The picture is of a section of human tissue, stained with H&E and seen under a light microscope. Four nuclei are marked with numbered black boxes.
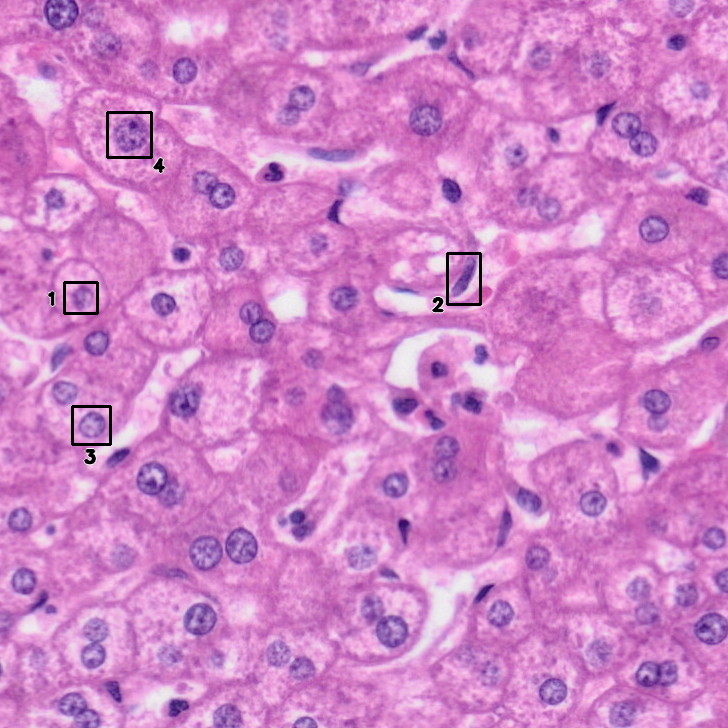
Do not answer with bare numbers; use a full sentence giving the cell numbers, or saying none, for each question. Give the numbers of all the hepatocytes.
By cell type, the cells numbered 1, 3 and 4 are hepatocytes.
